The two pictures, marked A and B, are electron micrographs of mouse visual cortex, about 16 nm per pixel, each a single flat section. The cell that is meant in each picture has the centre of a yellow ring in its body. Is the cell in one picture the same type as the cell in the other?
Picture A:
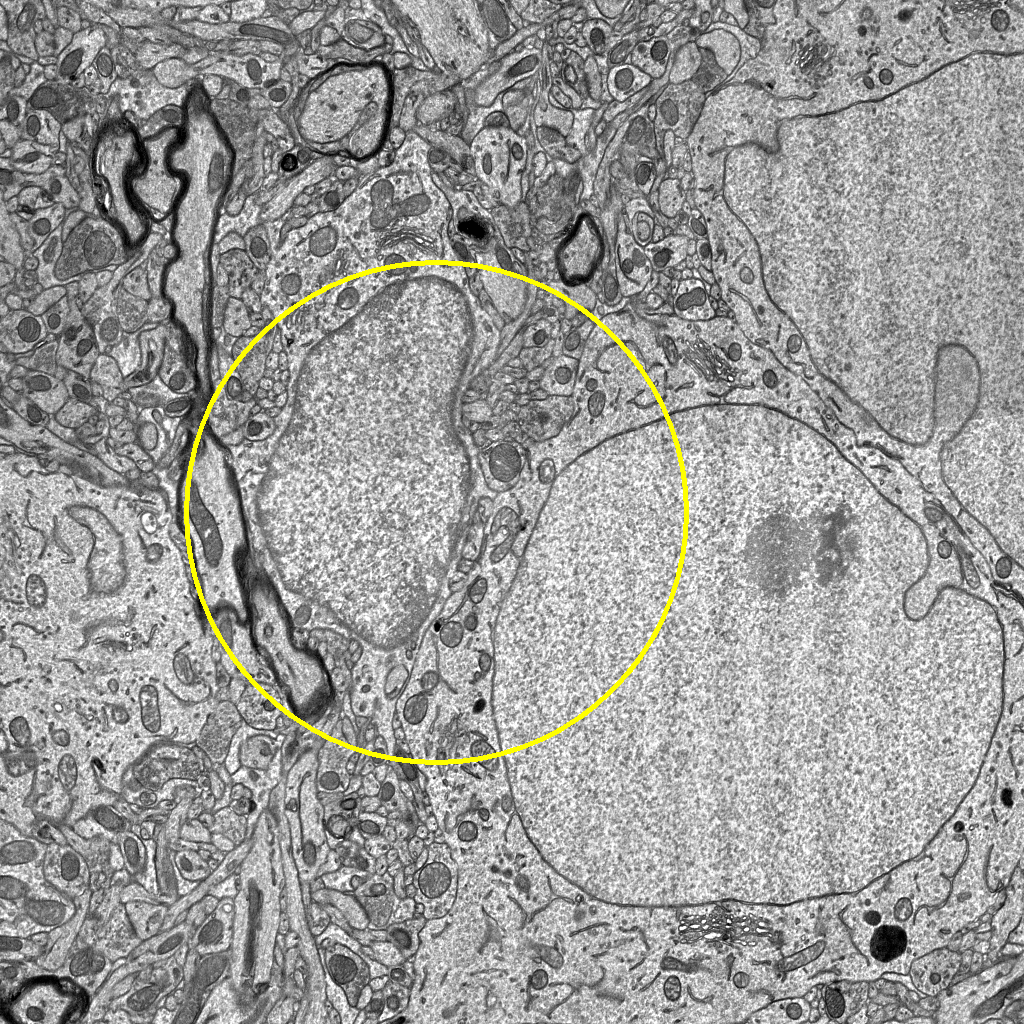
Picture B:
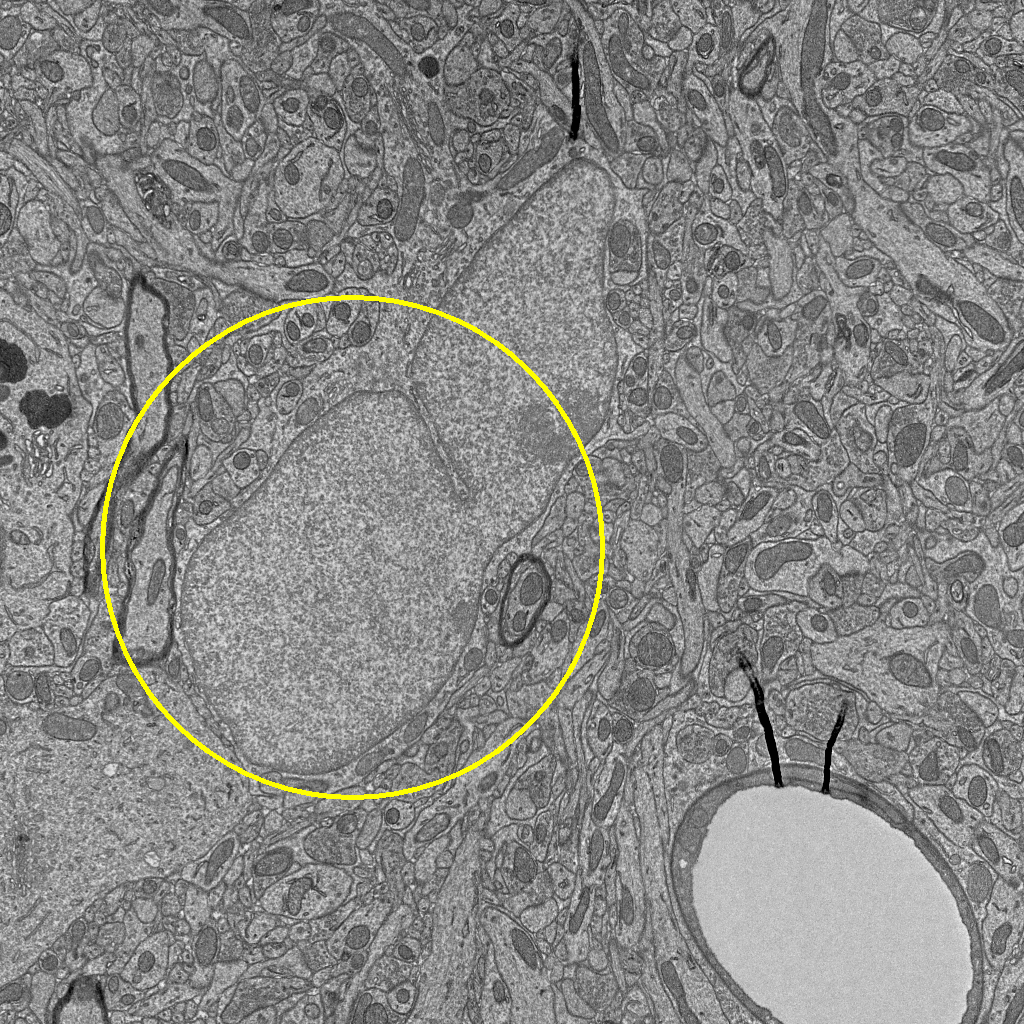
Yes, both are astrocytes.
